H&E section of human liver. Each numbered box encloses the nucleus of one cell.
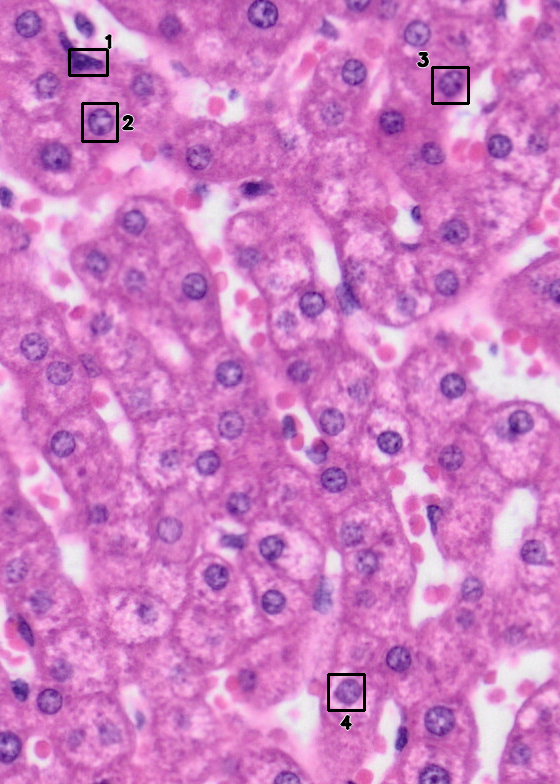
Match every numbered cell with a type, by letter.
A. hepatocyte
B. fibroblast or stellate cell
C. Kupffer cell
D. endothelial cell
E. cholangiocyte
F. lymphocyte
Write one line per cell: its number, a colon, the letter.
1: B
2: A
3: A
4: A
